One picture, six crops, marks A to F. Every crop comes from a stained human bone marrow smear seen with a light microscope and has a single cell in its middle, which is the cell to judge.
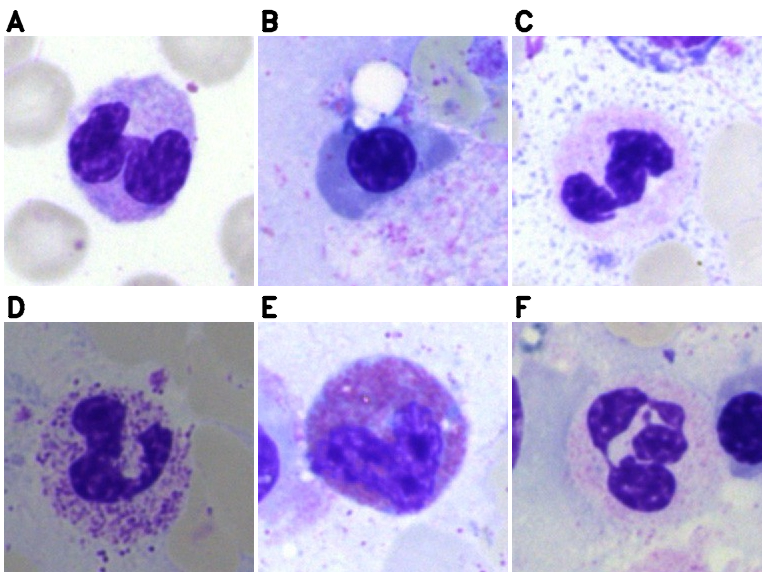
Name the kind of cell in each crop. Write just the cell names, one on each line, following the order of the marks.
segmented neutrophil
erythroblast
segmented neutrophil
segmented neutrophil
eosinophil
segmented neutrophil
